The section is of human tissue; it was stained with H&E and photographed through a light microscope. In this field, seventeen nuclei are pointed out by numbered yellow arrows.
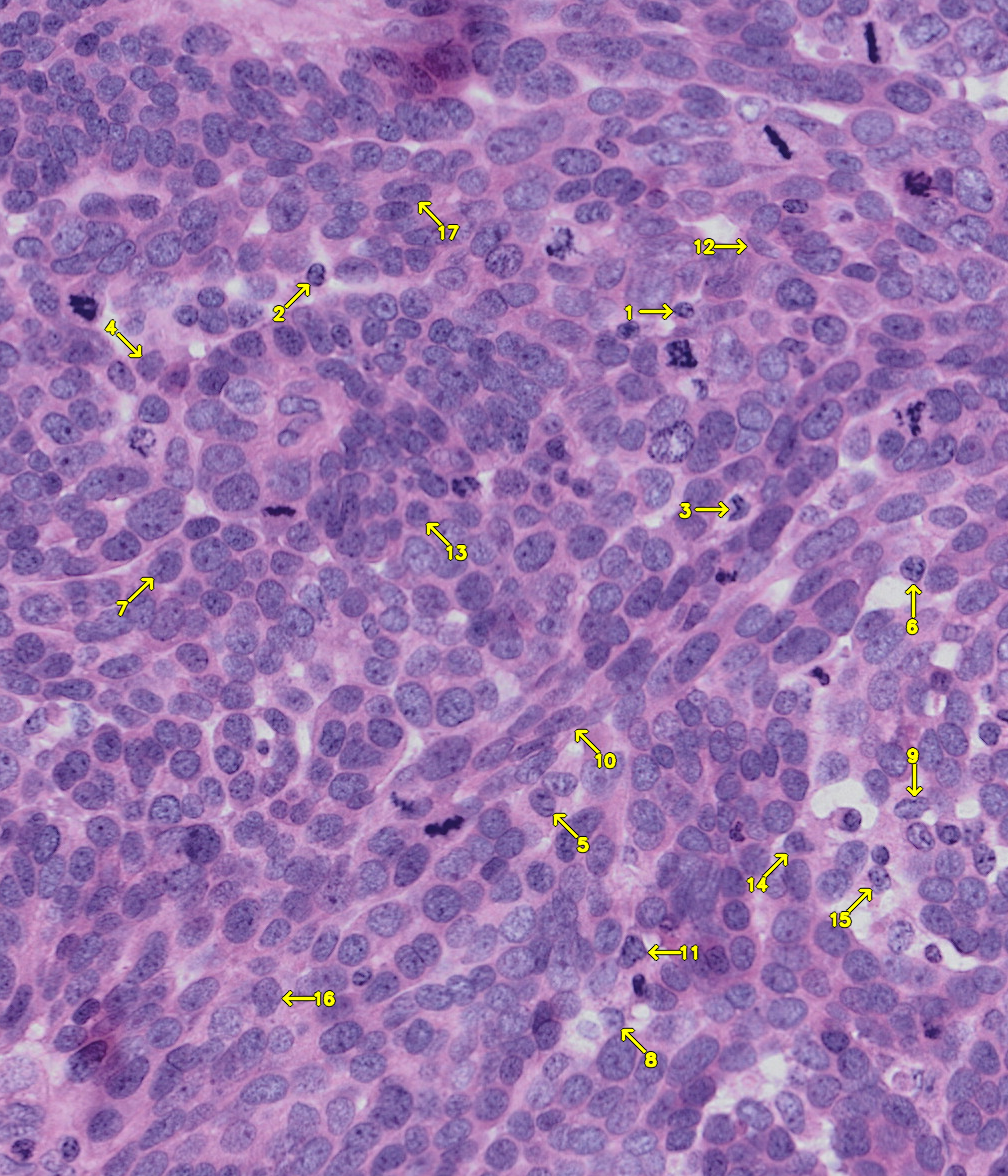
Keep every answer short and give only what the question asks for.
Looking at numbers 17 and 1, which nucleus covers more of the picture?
17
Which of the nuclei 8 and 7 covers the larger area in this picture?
7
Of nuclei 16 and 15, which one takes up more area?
16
